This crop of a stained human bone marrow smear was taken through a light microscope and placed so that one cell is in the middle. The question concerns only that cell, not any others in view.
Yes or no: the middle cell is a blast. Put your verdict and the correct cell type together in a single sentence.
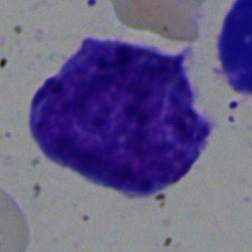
Yes, the cell under consideration, the one in the middle, is a blast.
